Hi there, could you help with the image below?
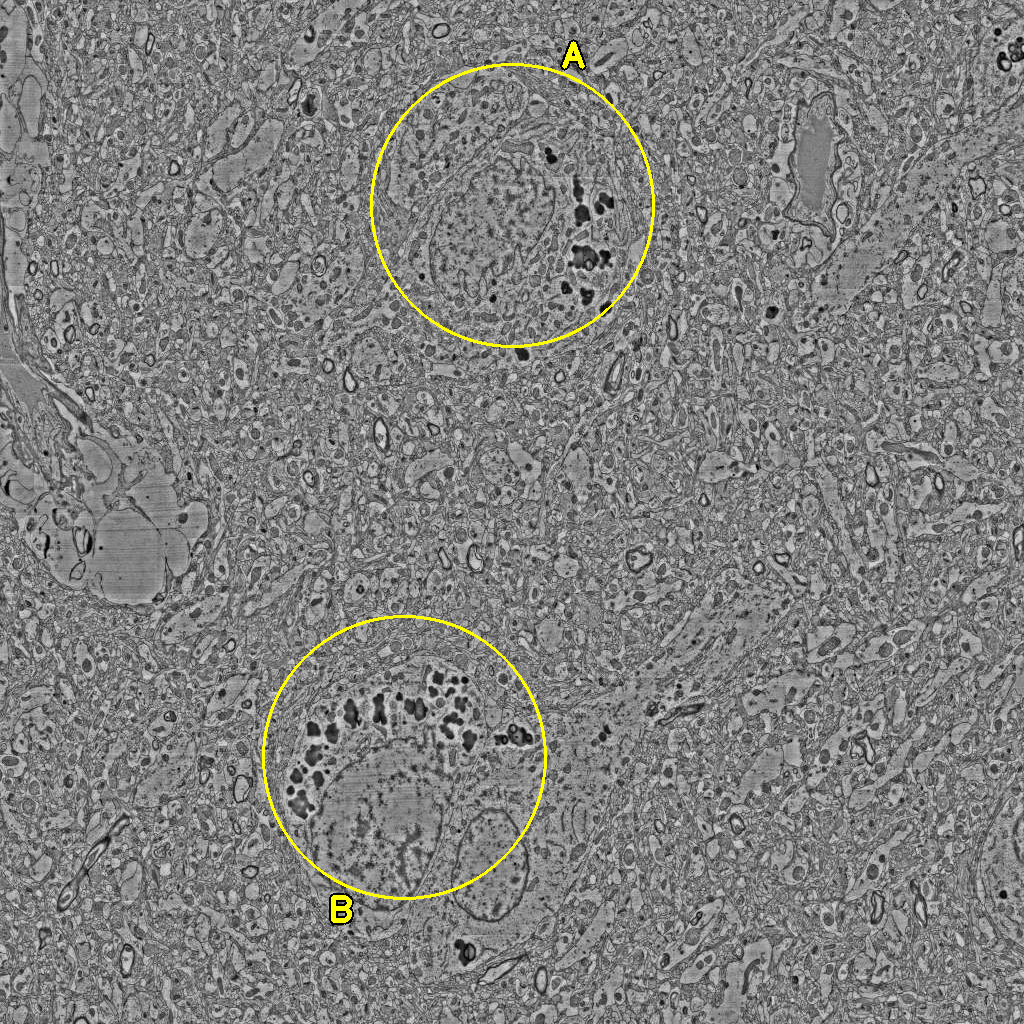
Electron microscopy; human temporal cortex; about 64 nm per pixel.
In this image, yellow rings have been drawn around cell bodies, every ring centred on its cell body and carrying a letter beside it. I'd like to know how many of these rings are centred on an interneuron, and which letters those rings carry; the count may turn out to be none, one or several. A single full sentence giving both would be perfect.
The two rings that bear the letters A and B have each been centred on an interneuron.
